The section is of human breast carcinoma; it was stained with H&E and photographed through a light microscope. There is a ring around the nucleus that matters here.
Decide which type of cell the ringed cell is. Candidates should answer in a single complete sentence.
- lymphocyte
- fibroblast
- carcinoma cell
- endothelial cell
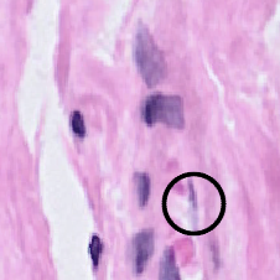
What the ringed cell represents is an endothelial cell.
